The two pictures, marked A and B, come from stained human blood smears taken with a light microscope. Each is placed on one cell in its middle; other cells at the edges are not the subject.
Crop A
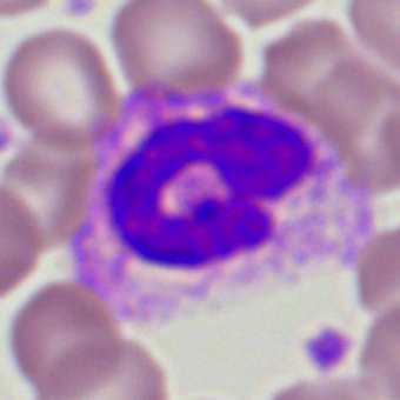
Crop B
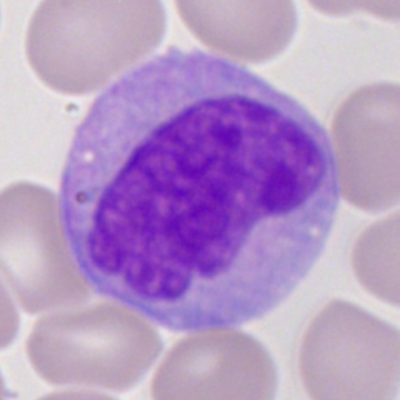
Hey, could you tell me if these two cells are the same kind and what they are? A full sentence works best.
No, in fact crop A shows a band neutrophil, and crop B shows a monocyte.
